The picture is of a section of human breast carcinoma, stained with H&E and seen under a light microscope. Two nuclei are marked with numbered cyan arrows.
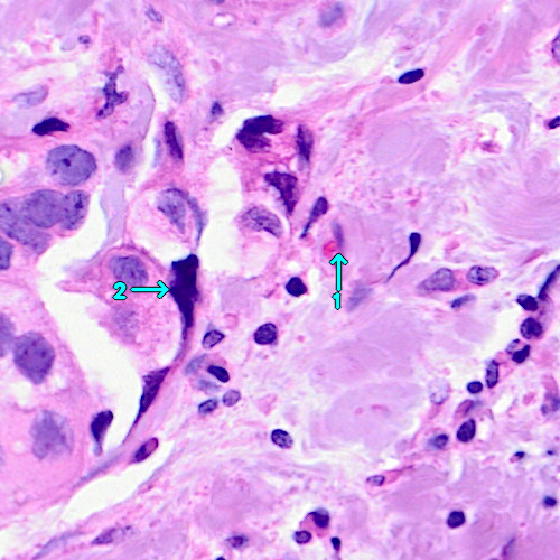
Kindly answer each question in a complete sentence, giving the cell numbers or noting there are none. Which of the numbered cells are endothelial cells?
Only cell 1 qualifies as an endothelial cell among the numbered cells.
